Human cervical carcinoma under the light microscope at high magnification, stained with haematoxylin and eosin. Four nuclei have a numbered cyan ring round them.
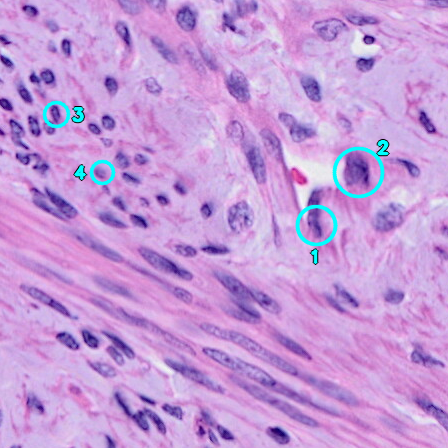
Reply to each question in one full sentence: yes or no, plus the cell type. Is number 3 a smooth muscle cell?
Yes, the marked cell with number 3 is a smooth muscle cell.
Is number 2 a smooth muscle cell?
No, cell 2 should be read as an endothelial cell instead of a smooth muscle cell.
